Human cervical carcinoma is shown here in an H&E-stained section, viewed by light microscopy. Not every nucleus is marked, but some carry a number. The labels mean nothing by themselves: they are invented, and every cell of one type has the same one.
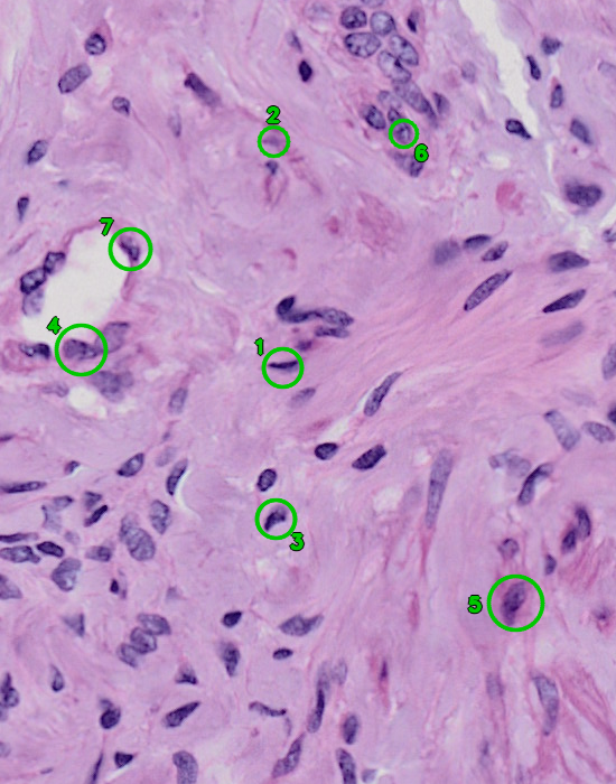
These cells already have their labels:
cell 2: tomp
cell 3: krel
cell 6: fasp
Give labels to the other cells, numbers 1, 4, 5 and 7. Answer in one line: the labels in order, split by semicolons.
krel; fasp; tomp; fasp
